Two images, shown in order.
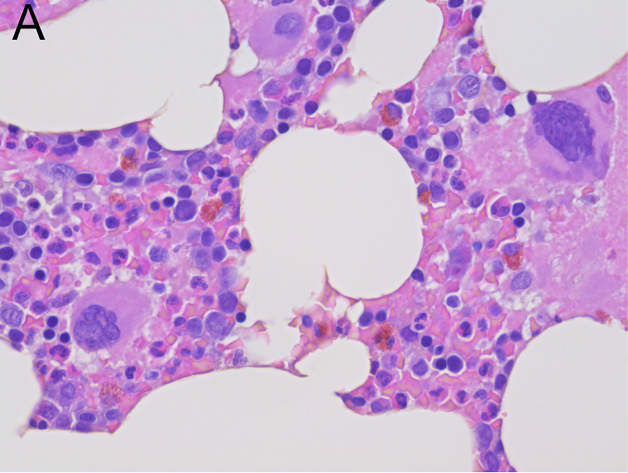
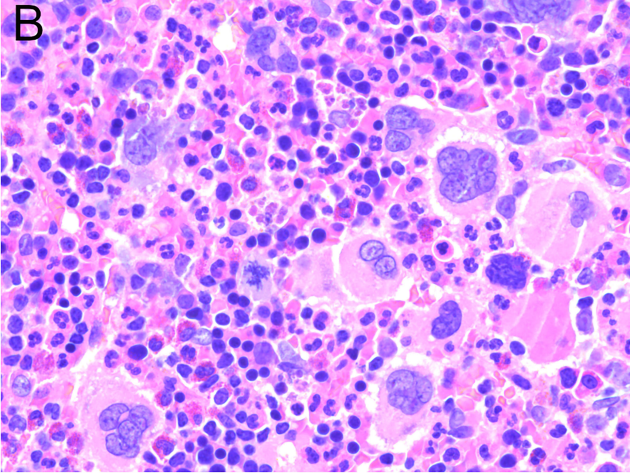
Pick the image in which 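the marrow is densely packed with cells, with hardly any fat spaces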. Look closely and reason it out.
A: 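First image: large round empty fat spaces take up much of the field, with cells between them. Second image: cells fill nearly the whole field with almost no fat spaces. So: the second image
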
